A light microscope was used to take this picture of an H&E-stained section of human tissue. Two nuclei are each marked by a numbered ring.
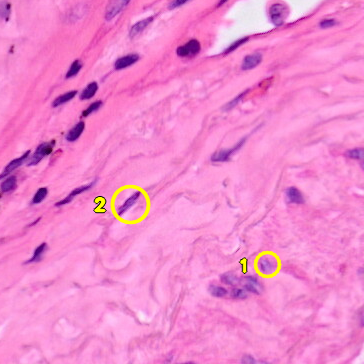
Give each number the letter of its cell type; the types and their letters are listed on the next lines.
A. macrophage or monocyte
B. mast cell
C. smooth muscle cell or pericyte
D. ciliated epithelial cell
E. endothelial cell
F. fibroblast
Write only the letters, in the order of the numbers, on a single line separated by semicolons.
C; F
